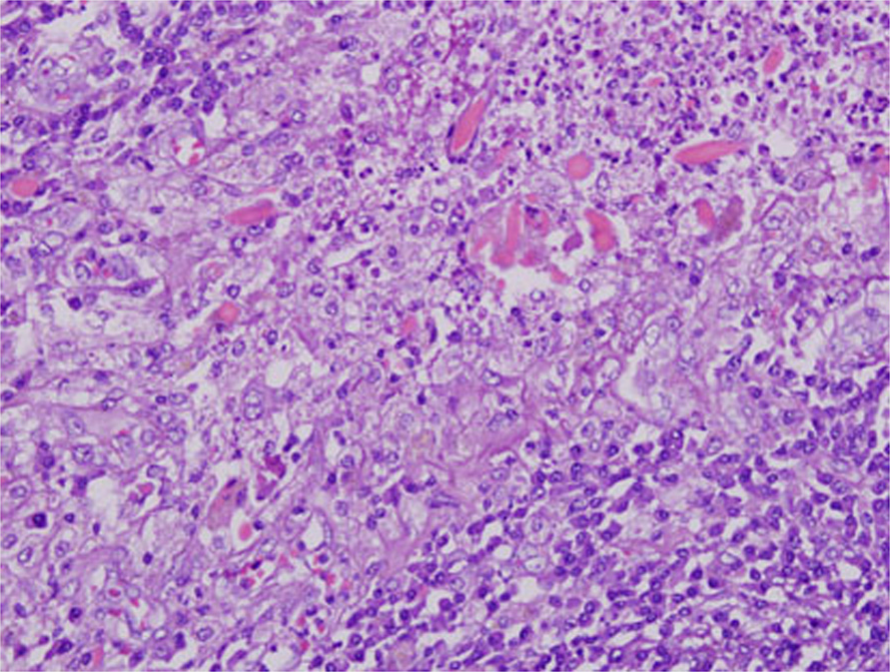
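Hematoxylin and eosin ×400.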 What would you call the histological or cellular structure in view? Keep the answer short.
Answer: Eosinophil crystals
